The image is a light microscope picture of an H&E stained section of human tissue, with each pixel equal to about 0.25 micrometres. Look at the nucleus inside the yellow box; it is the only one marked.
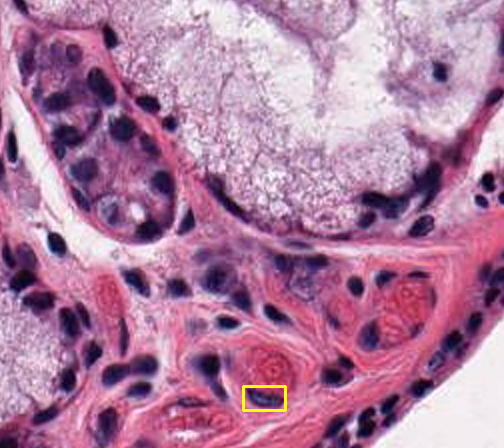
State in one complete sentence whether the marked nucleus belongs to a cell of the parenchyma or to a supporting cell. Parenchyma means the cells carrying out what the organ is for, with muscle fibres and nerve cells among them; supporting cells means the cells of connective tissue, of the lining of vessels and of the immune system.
It is a supporting cell that holds the marked nucleus.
